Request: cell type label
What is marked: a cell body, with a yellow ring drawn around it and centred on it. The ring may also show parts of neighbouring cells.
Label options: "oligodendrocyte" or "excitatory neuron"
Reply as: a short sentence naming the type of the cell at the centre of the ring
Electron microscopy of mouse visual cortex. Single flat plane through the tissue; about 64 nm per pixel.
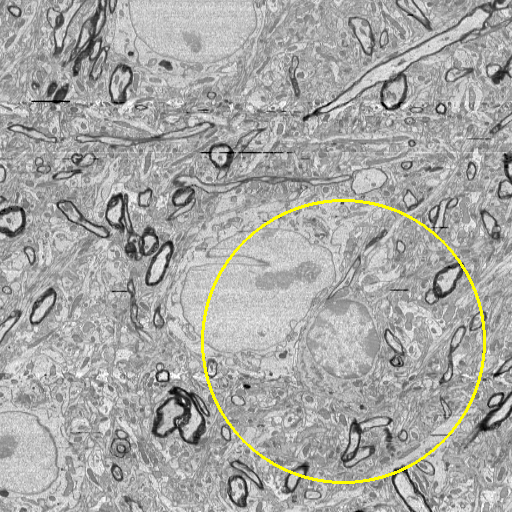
The marked cell body is that of an oligodendrocyte.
